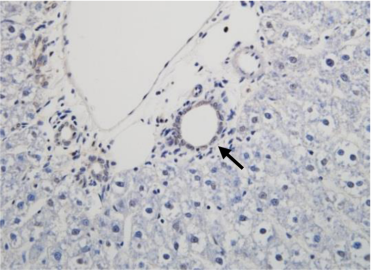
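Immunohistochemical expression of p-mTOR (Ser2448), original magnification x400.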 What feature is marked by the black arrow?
Interlobular bile ducts.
